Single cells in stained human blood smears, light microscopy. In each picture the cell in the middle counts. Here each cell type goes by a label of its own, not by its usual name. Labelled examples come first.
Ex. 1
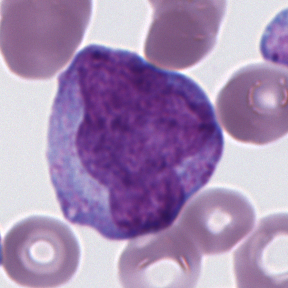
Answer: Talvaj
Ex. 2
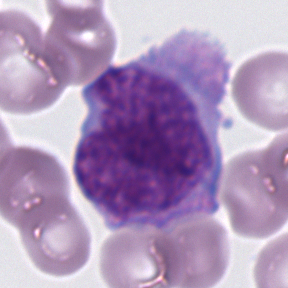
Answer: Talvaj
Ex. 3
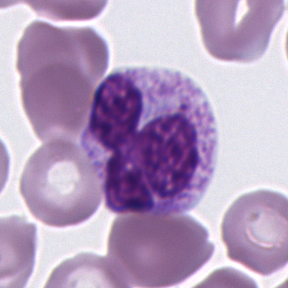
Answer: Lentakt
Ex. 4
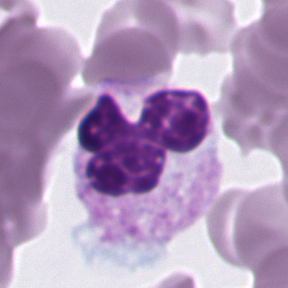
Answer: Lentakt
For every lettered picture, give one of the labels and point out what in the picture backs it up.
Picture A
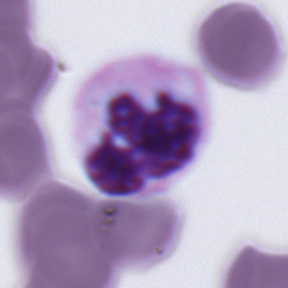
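Lentakt: The cytoplasm is pale pink.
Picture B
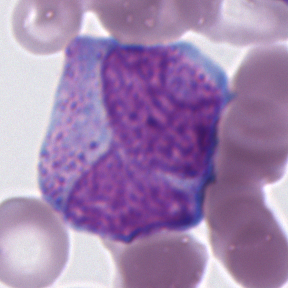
Talvaj: The nucleus fills most of the cell and lies toward the right.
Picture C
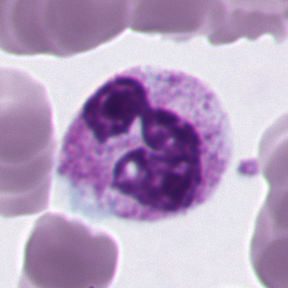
Lentakt: The cytoplasm is abundant and pale pinkish-lilac.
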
